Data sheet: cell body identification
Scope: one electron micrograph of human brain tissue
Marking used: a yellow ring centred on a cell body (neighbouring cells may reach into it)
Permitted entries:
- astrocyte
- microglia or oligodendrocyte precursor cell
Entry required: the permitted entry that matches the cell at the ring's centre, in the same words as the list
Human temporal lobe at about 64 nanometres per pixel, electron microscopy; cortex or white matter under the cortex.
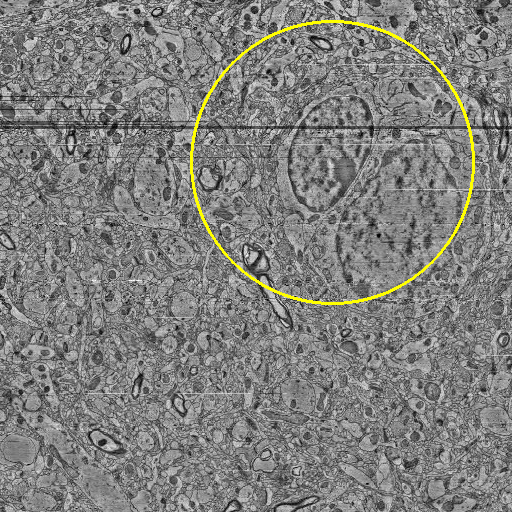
microglia or oligodendrocyte precursor cell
